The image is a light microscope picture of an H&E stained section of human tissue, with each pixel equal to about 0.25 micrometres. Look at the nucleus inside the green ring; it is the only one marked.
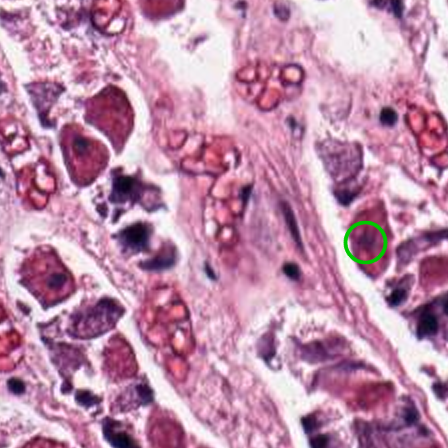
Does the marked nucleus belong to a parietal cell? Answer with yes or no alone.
yes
